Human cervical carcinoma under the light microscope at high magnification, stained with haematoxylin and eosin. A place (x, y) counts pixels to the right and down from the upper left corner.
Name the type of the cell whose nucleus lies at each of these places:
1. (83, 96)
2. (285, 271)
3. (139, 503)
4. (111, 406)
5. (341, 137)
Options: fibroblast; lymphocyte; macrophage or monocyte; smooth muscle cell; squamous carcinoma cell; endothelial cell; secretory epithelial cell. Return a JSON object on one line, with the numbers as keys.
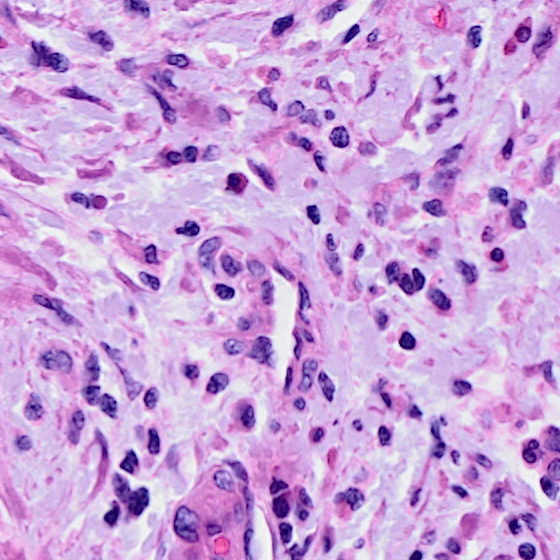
{"1": "fibroblast", "2": "endothelial cell", "3": "lymphocyte", "4": "lymphocyte", "5": "lymphocyte"}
